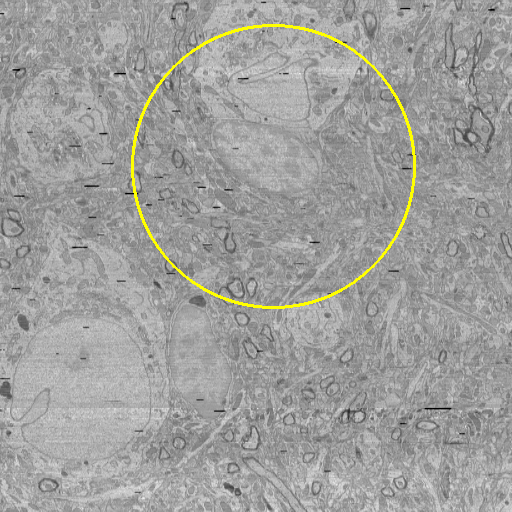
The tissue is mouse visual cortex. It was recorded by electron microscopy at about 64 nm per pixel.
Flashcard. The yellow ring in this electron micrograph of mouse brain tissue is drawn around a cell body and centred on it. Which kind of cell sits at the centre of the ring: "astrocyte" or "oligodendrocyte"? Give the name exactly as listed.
oligodendrocyte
